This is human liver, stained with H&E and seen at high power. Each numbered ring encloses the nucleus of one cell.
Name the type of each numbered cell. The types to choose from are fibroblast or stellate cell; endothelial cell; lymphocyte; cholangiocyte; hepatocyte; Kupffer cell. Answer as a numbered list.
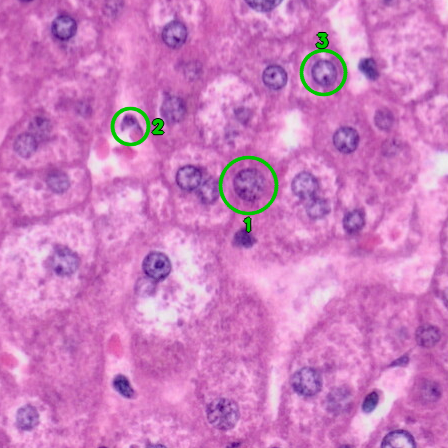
1. hepatocyte
2. endothelial cell
3. hepatocyte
